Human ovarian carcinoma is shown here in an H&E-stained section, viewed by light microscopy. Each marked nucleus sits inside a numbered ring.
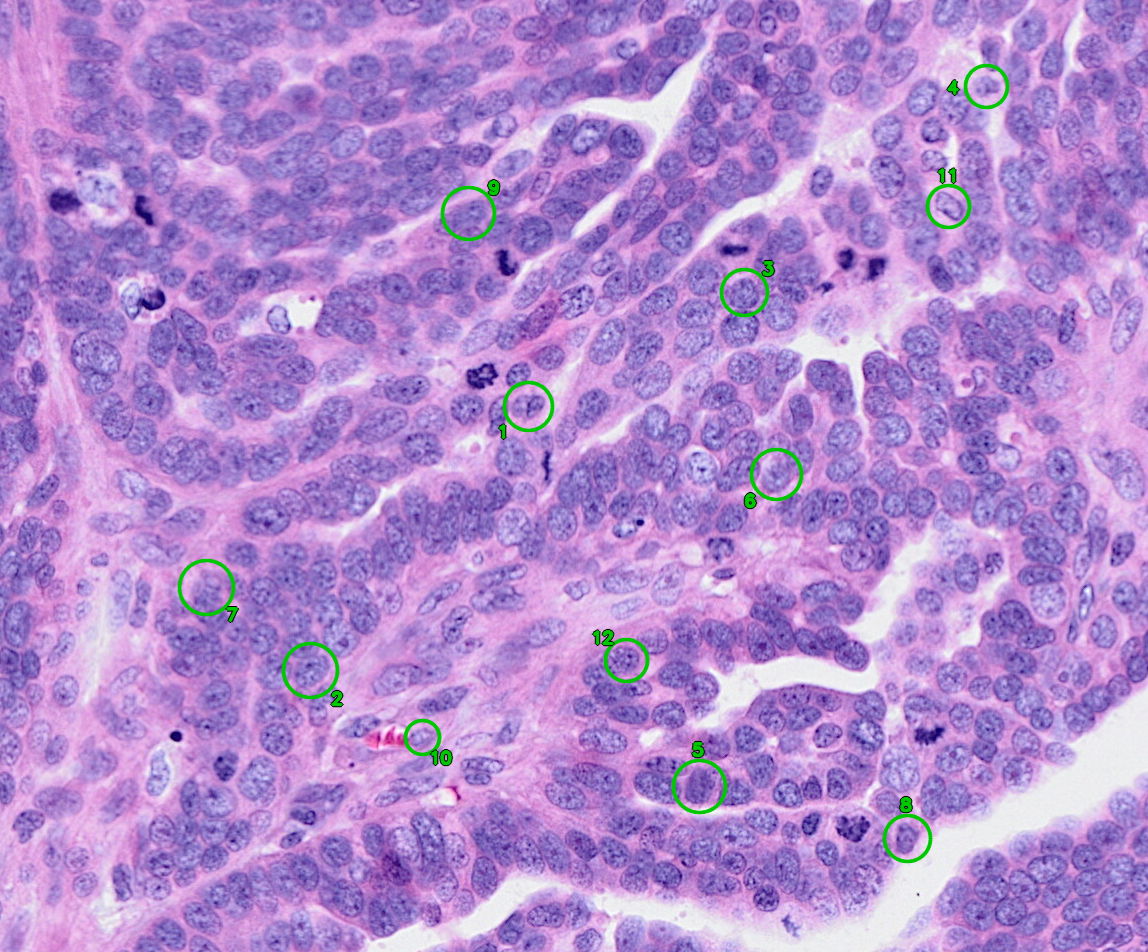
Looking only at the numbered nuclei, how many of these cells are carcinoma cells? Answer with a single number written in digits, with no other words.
7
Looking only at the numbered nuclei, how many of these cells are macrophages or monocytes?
4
